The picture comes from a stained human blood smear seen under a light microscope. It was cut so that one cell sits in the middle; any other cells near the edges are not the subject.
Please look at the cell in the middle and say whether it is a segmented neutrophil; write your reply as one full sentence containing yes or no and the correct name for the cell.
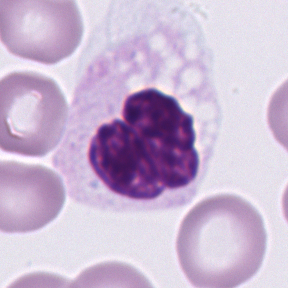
Yes, the cell of interest in the middle is a segmented neutrophil.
